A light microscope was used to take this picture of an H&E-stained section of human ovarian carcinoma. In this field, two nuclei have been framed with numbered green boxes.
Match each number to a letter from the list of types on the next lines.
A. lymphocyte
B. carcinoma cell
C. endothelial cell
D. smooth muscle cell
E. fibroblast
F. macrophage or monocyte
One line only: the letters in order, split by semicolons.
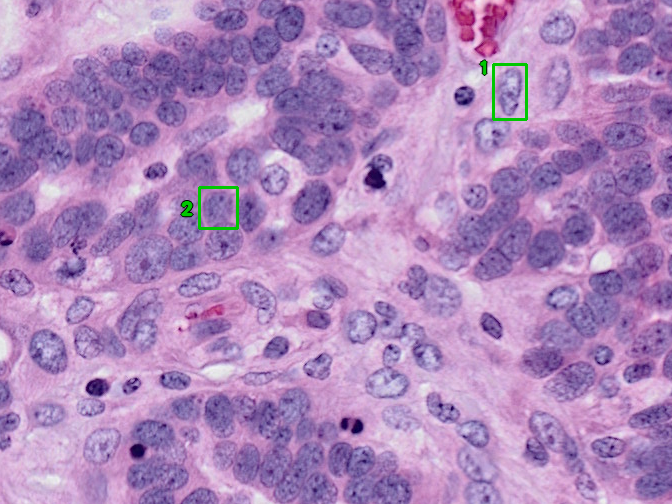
E; B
